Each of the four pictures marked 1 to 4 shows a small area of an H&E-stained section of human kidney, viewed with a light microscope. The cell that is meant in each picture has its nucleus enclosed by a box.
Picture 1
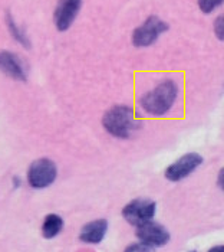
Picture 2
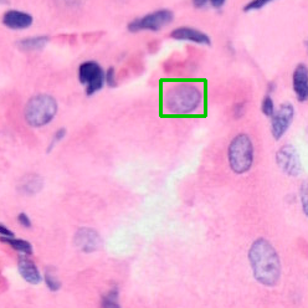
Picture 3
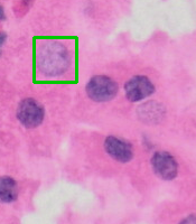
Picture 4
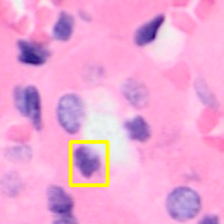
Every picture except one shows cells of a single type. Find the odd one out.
4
